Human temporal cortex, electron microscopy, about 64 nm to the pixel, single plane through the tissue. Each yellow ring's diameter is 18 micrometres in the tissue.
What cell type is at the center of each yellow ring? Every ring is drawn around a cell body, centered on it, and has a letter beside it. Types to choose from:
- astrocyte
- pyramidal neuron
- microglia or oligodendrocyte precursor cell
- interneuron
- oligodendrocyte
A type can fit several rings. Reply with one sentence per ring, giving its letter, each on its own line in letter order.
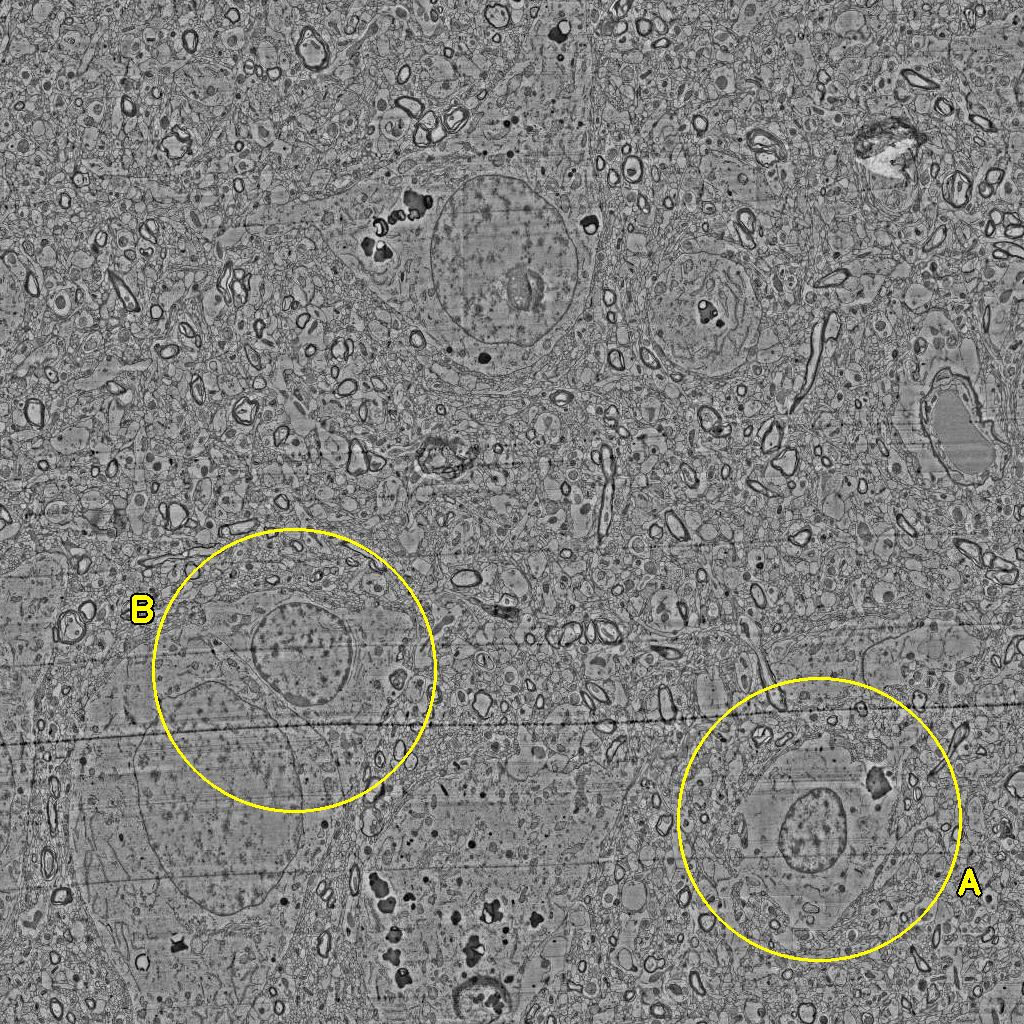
Ring A is placed around an astrocyte.
Ring B is placed around a microglial cell or oligodendrocyte precursor cell.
